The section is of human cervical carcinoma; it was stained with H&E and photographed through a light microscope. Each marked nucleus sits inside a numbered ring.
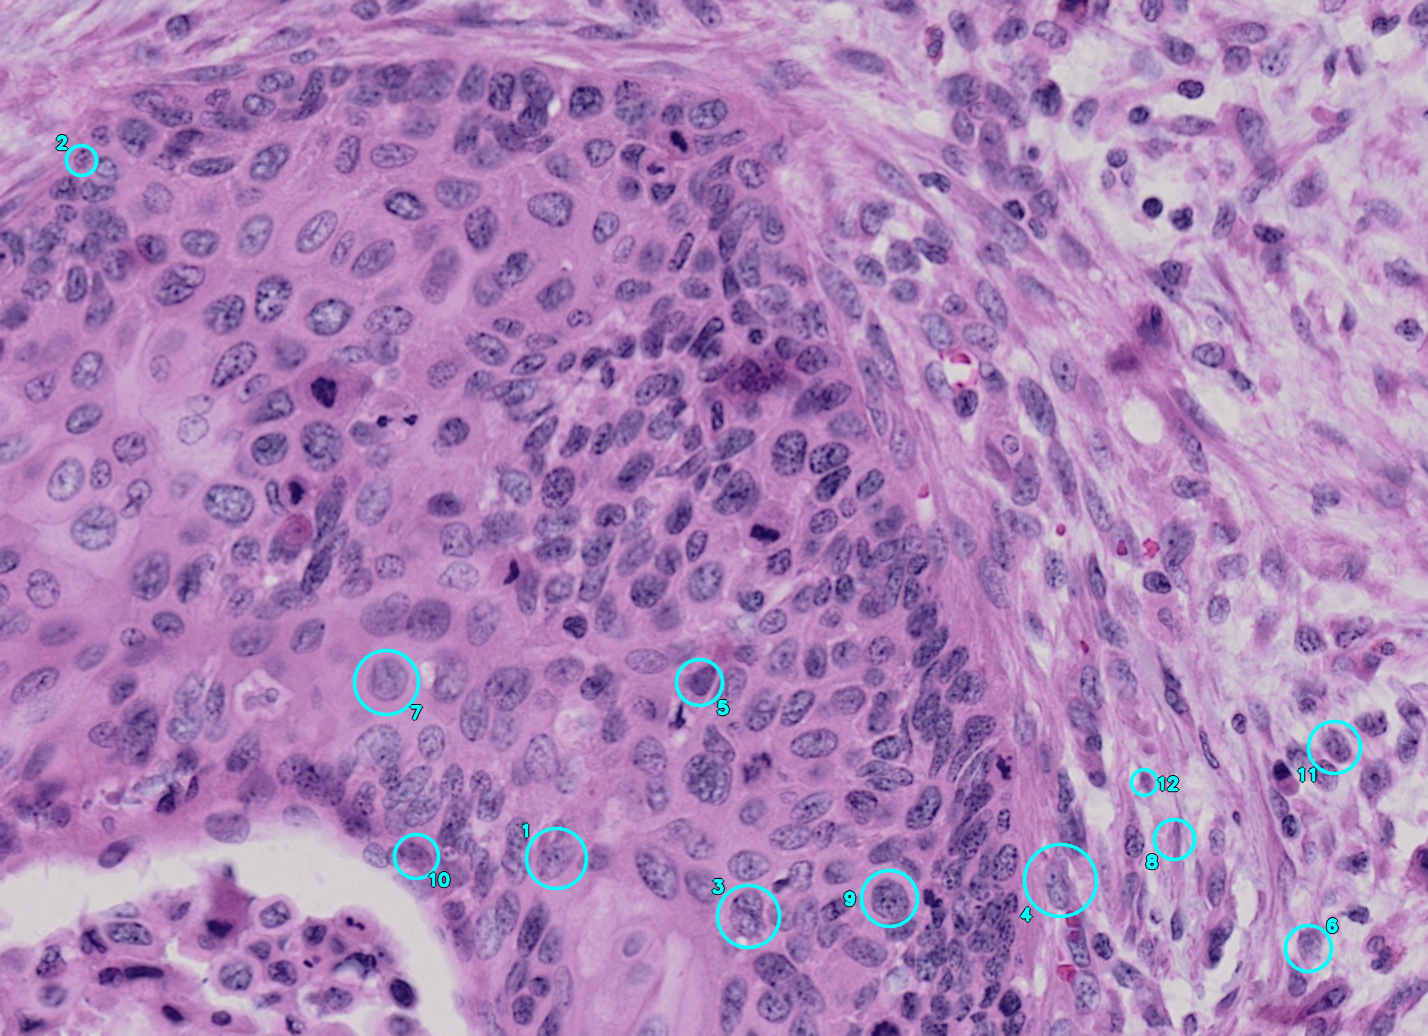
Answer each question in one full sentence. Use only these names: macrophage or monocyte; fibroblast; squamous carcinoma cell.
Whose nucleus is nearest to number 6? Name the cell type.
Number 6 lies closest to the nucleus of a macrophage or monocyte.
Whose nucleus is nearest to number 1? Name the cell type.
The nucleus nearest to number 1 is that of a squamous carcinoma cell.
